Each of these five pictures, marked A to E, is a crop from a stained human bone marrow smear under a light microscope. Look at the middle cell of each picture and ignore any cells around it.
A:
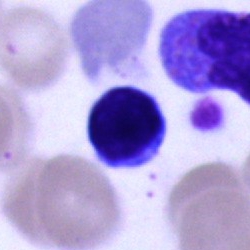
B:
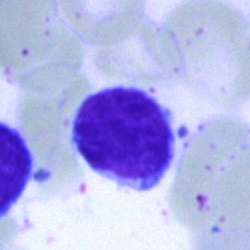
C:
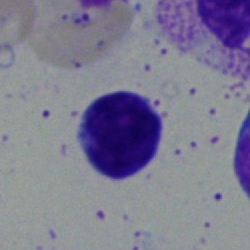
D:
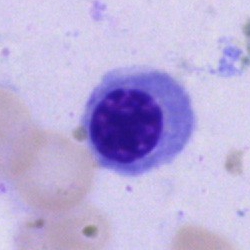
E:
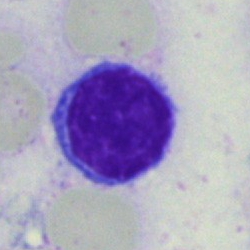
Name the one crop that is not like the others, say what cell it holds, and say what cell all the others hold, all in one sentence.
Crop D, showing an erythroblast, is the exception; the others all show lymphocytes.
